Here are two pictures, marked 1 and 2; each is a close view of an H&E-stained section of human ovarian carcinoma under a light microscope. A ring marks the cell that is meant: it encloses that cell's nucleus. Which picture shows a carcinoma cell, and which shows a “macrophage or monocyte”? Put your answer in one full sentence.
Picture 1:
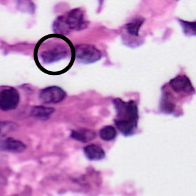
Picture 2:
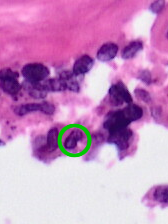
The cell in picture 1 is a carcinoma cell, and the one in picture 2 is a “macrophage or monocyte”.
